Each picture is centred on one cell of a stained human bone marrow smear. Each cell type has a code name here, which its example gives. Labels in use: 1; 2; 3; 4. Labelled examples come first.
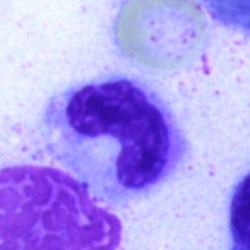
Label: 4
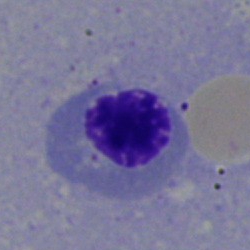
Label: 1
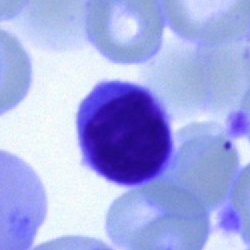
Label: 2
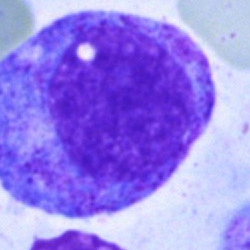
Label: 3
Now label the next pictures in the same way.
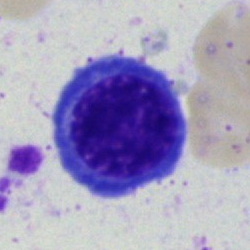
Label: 1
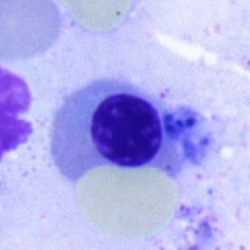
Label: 1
